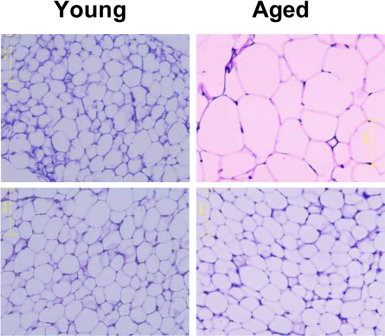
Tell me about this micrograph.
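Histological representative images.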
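These four sections show white adipose tissue made up of white adipocytes packed together like a honeycomb. Each adipocyte appears as a large, clear, rounded to polygonal space bounded by a thin stained rim, which is where the scant cytoplasm lies. Three of the sections are stained mainly purple, and their adipocytes are small and fairly even in size. The fourth section, at the top right, has a paler pink tint, and its adipocytes are far larger and more varied in size. In that section the rims between cells are thin, and there are only a few small clusters of stained cells where several adipocytes meet.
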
